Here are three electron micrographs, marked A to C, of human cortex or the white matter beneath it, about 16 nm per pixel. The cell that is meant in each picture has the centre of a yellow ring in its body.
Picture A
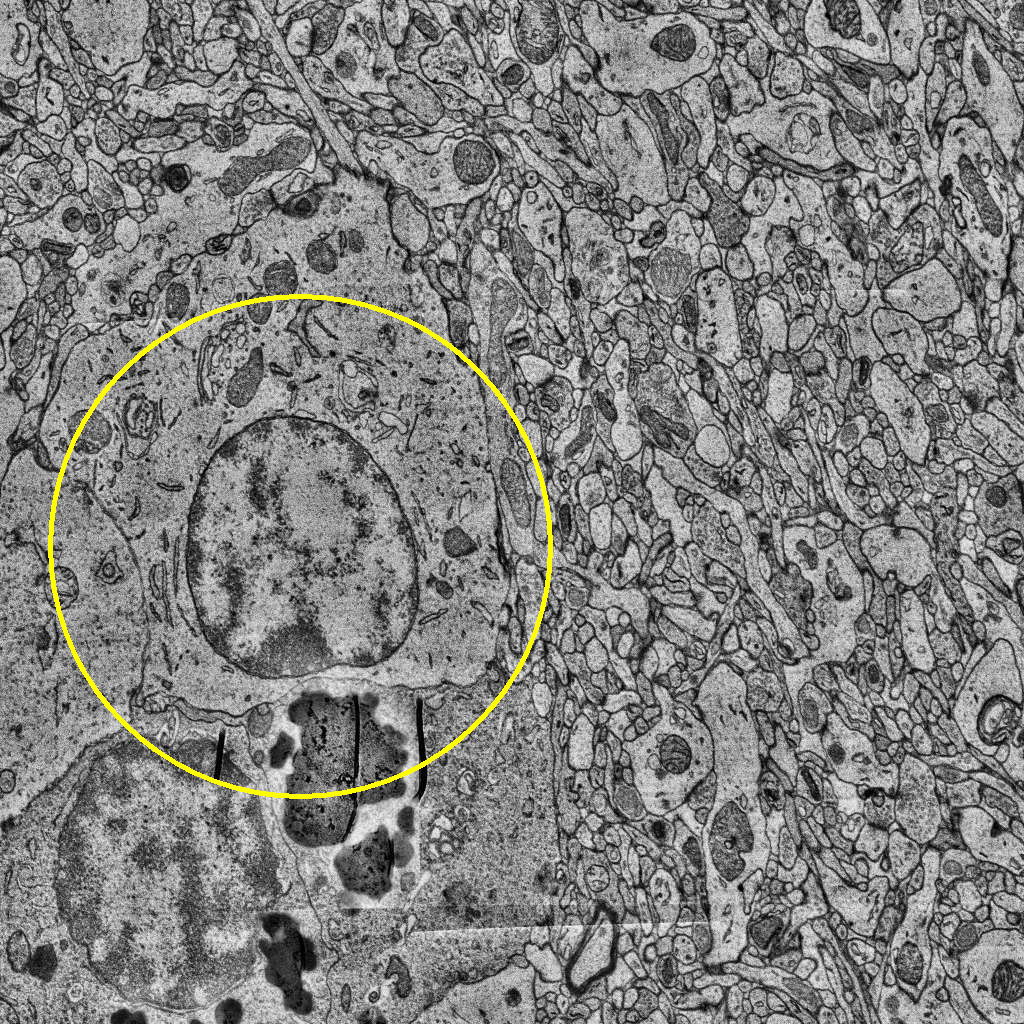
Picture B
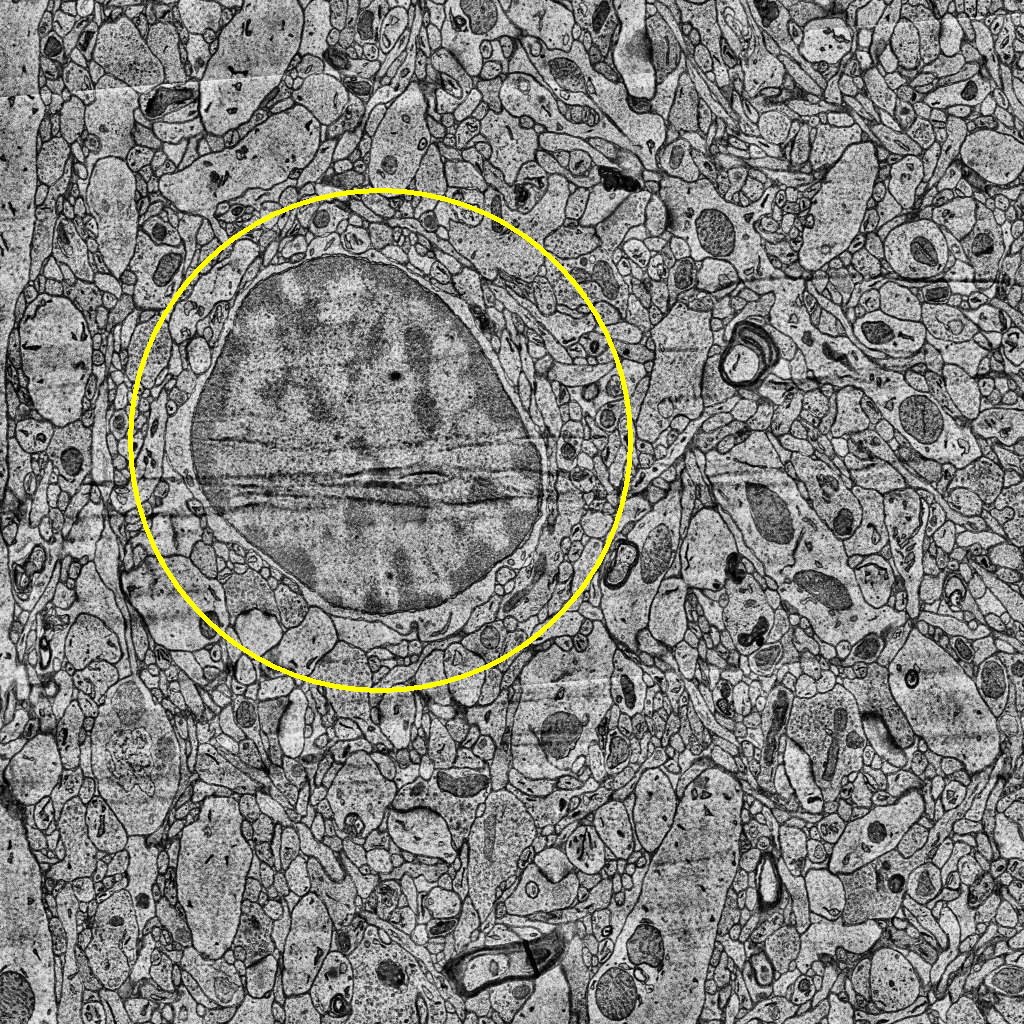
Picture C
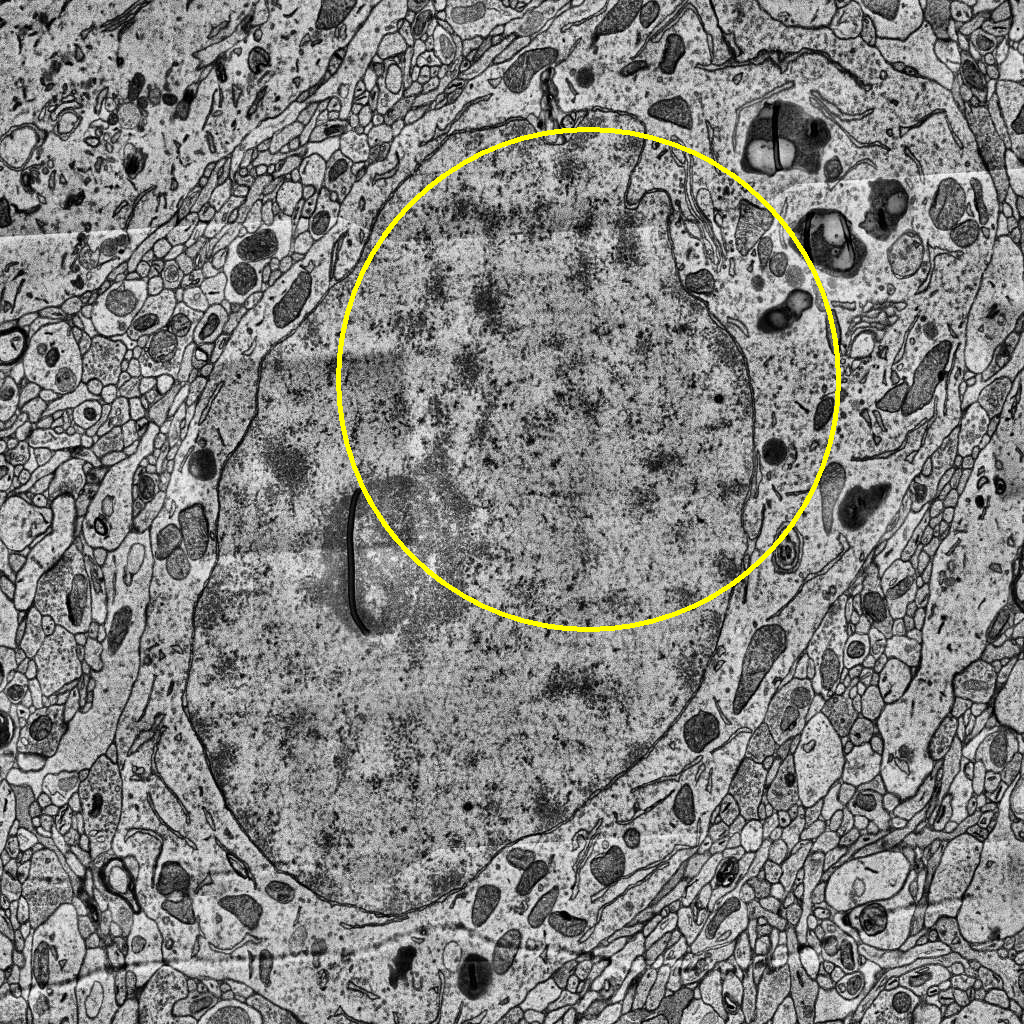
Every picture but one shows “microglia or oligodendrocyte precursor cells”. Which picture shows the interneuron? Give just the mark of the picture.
C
